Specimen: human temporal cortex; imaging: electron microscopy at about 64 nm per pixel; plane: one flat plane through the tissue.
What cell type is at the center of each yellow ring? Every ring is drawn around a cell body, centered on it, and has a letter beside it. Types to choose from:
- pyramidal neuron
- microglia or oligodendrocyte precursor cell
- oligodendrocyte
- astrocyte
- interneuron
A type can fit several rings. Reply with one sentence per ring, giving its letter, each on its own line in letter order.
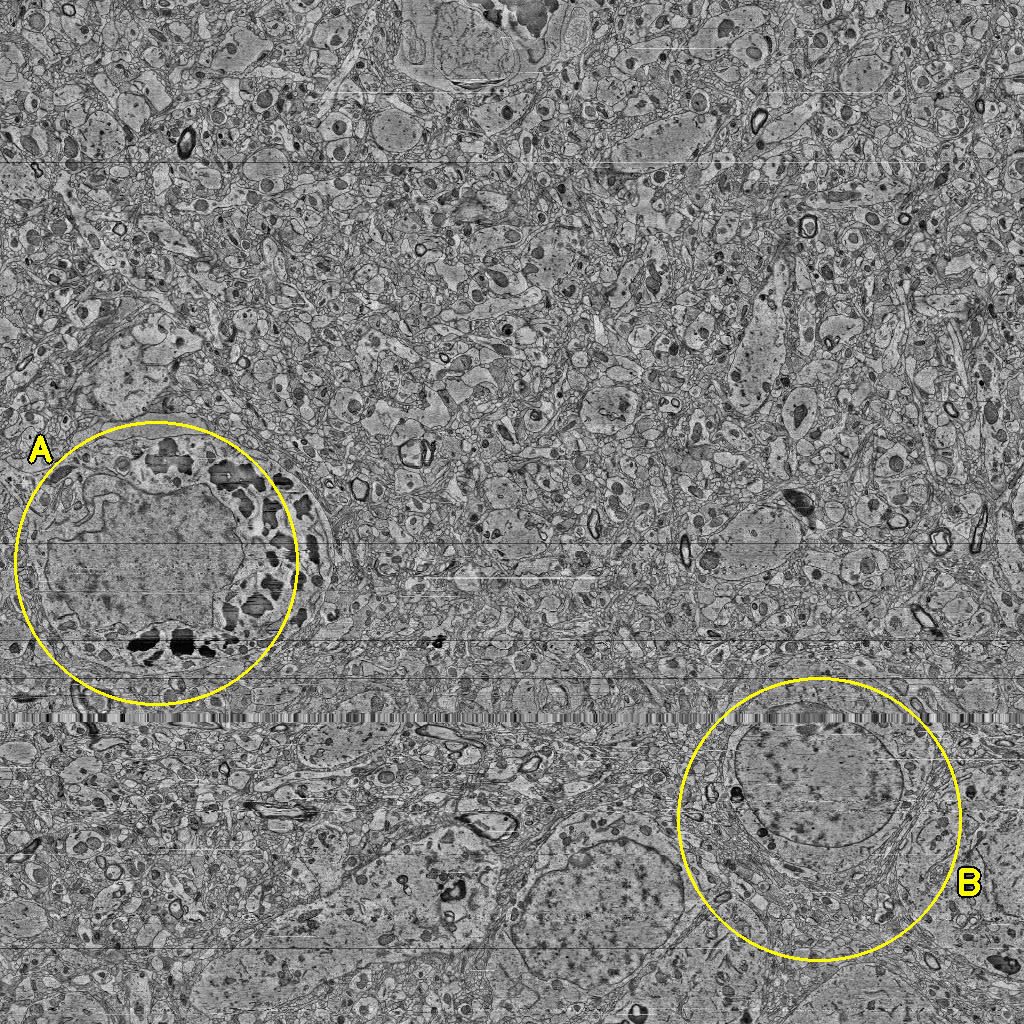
Ring A is placed around an interneuron.
Ring B is placed around a pyramidal neuron.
